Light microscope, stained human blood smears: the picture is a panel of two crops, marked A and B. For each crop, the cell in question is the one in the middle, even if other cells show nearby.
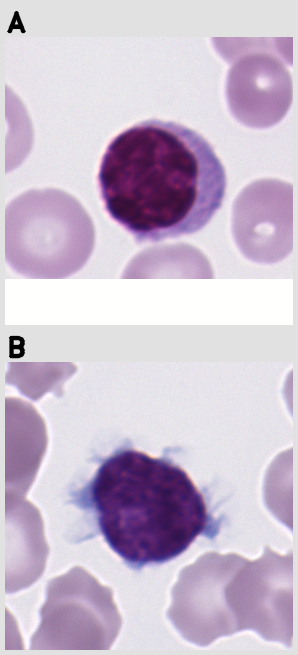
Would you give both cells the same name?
no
